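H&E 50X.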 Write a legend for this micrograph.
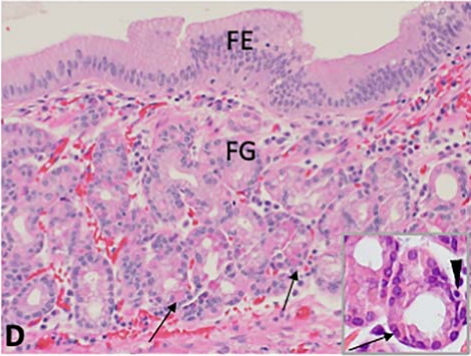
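Gastric-type mucosa with a surface layer of tall columnar foveolar epithelium with pale apical cytoplasm, overlying closely packed fundic glands in a lamina propria with capillaries and scattered small round cells. The glands are lined by cells with round nuclei, among them cells with pink granular cytoplasm; the inset shows a gland at higher power with such pink cells at its wall.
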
